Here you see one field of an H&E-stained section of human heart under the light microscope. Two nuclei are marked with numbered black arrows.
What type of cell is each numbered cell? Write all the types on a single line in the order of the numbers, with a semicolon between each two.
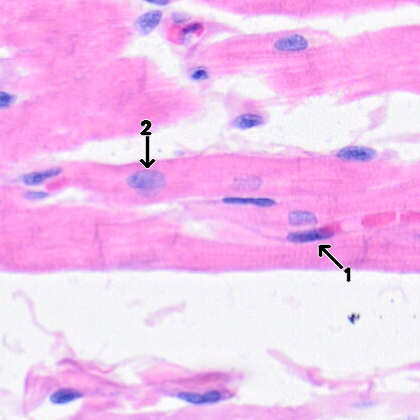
endothelial cell; cardiomyocyte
